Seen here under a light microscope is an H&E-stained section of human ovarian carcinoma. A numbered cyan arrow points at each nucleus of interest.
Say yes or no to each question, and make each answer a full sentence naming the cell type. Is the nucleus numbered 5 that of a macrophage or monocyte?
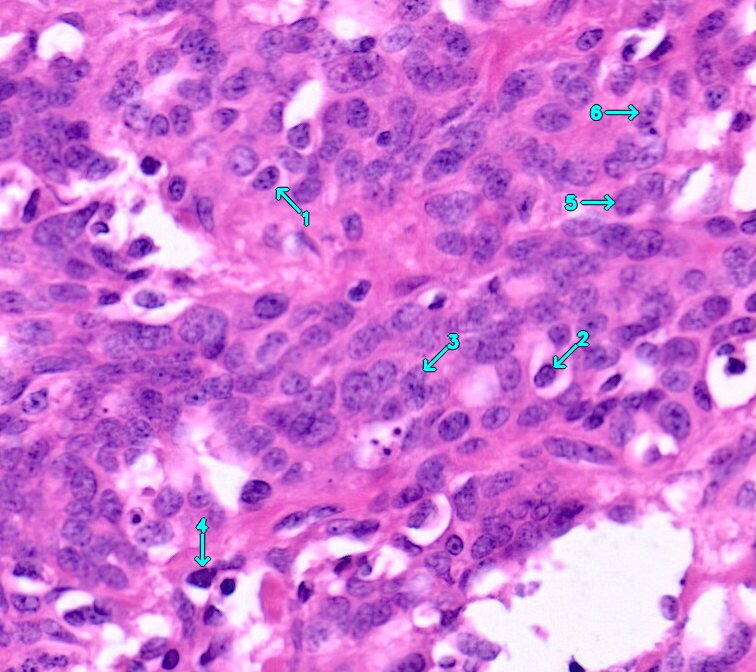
No, number 5 is not a macrophage or monocyte; it is a carcinoma cell.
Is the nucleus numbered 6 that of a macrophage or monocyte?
Yes, the numbered nucleus 6 is that of a macrophage or monocyte.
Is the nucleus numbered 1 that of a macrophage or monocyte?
Yes, the cell marked with number 1 is a macrophage or monocyte.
